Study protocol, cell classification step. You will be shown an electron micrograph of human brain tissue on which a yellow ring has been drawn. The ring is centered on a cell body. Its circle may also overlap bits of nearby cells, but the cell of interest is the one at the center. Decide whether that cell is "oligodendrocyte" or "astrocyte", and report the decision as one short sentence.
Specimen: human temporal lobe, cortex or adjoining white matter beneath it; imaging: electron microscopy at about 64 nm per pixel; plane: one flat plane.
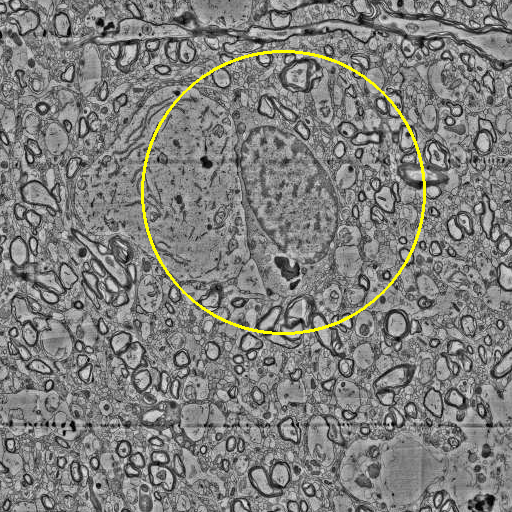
The marked cell is an oligodendrocyte.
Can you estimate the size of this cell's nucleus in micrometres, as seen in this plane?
The ringed cell's nucleus is roughly 9 by 5 micrometres and clearly longer than it is wide in this plane.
